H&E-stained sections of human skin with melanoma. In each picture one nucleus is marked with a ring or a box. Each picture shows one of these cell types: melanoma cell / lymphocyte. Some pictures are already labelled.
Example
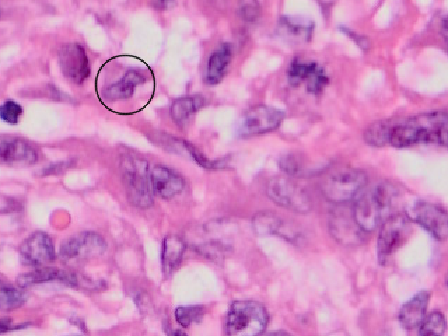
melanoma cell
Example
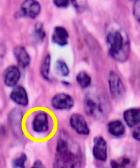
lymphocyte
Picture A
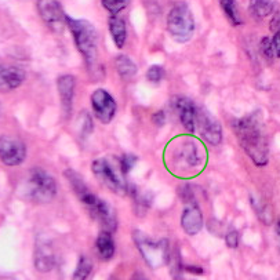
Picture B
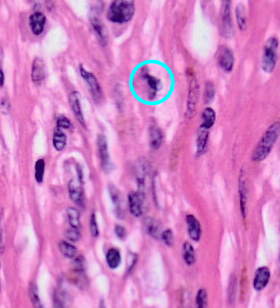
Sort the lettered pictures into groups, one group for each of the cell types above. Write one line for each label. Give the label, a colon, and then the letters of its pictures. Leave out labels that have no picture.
melanoma cell: A
lymphocyte: B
